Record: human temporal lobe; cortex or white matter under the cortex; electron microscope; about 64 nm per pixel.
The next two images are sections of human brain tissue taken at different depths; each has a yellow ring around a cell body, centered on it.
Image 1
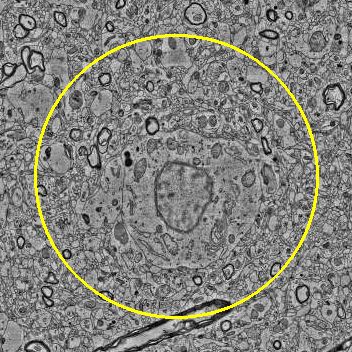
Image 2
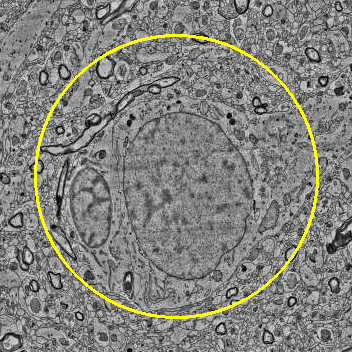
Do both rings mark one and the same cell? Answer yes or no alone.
yes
